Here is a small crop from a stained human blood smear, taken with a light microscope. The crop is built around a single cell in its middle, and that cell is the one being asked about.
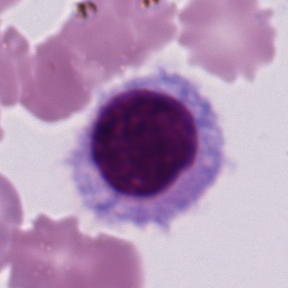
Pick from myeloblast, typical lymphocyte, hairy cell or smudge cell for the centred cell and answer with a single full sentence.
Positioned in the middle of the crop is a hairy cell.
